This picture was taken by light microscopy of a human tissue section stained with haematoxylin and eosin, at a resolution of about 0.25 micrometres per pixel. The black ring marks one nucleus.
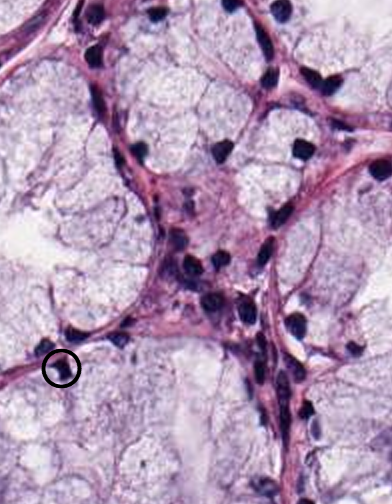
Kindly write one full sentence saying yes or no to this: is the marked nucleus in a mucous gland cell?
Yes, the nucleus that is marked belongs to a mucous gland cell.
